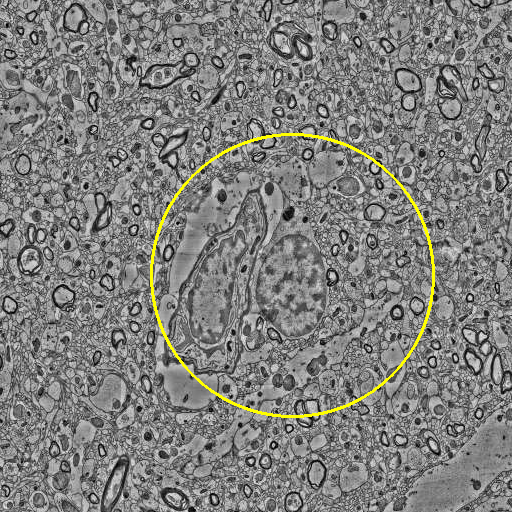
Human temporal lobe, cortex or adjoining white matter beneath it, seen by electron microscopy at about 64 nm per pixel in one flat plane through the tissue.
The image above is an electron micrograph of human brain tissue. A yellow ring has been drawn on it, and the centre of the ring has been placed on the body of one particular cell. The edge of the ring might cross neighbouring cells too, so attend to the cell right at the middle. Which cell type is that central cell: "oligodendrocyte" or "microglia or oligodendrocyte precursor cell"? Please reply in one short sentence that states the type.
The central cell in the ring is an oligodendrocyte.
